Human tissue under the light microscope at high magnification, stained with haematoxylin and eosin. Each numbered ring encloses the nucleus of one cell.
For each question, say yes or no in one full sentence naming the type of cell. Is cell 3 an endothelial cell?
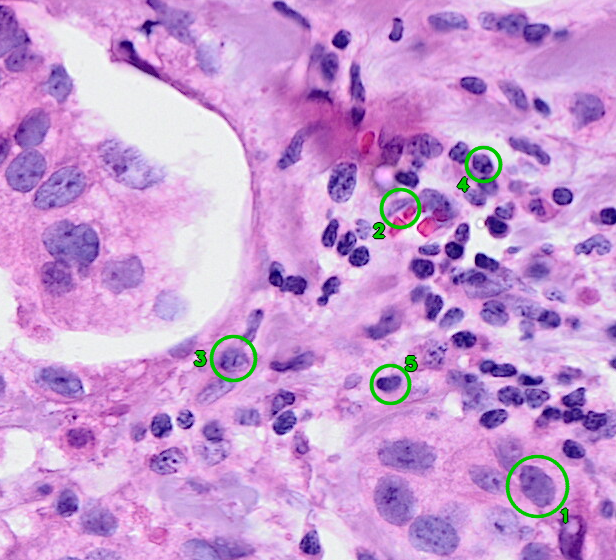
Yes, cell 3 is an endothelial cell in this tissue section.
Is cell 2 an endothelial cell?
Yes, the cell distinguished by number 2 is an endothelial cell.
